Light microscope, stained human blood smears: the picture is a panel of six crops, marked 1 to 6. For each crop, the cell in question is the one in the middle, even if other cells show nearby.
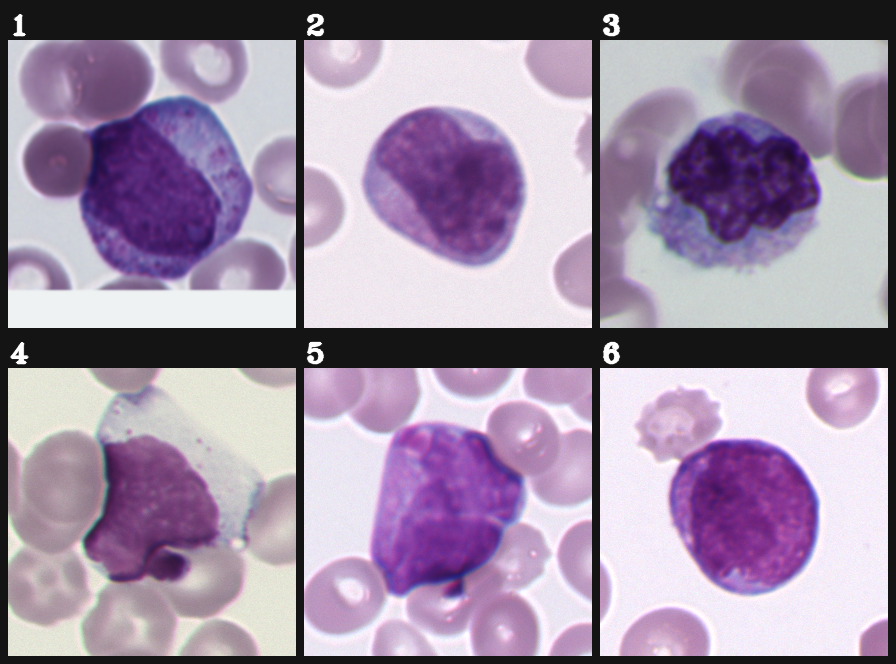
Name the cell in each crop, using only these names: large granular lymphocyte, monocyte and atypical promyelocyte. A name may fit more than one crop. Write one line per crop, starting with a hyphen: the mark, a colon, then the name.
- 1: atypical promyelocyte
- 2: atypical promyelocyte
- 3: monocyte
- 4: large granular lymphocyte
- 5: atypical promyelocyte
- 6: atypical promyelocyte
